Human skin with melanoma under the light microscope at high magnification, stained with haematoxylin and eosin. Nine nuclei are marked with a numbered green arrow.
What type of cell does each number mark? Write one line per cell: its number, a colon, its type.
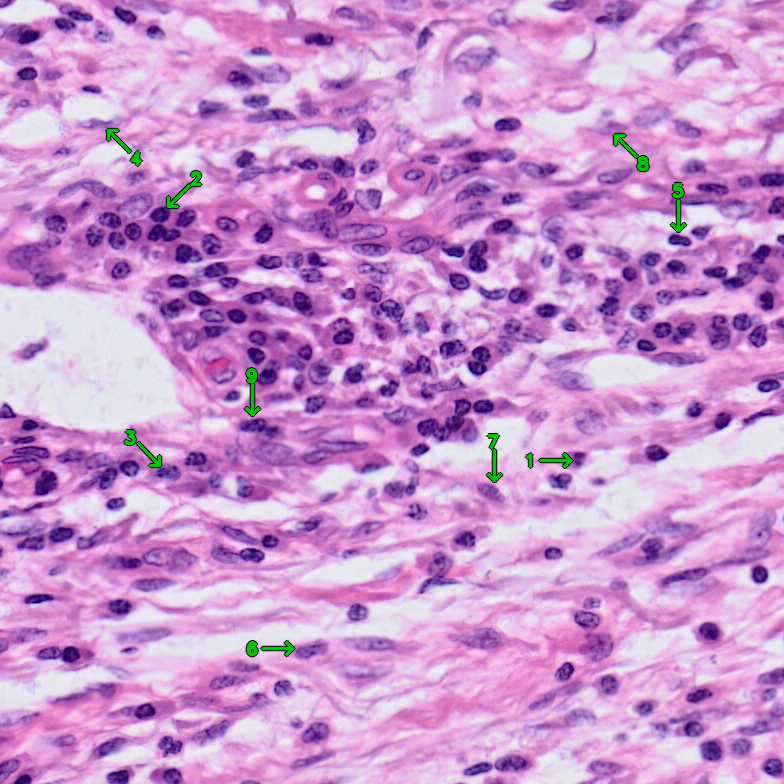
1: plasma cell
2: plasma cell
3: plasma cell
4: fibroblast or myofibroblast
5: lymphocyte
6: macrophage or monocyte
7: macrophage or monocyte
8: fibroblast or myofibroblast
9: plasma cell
